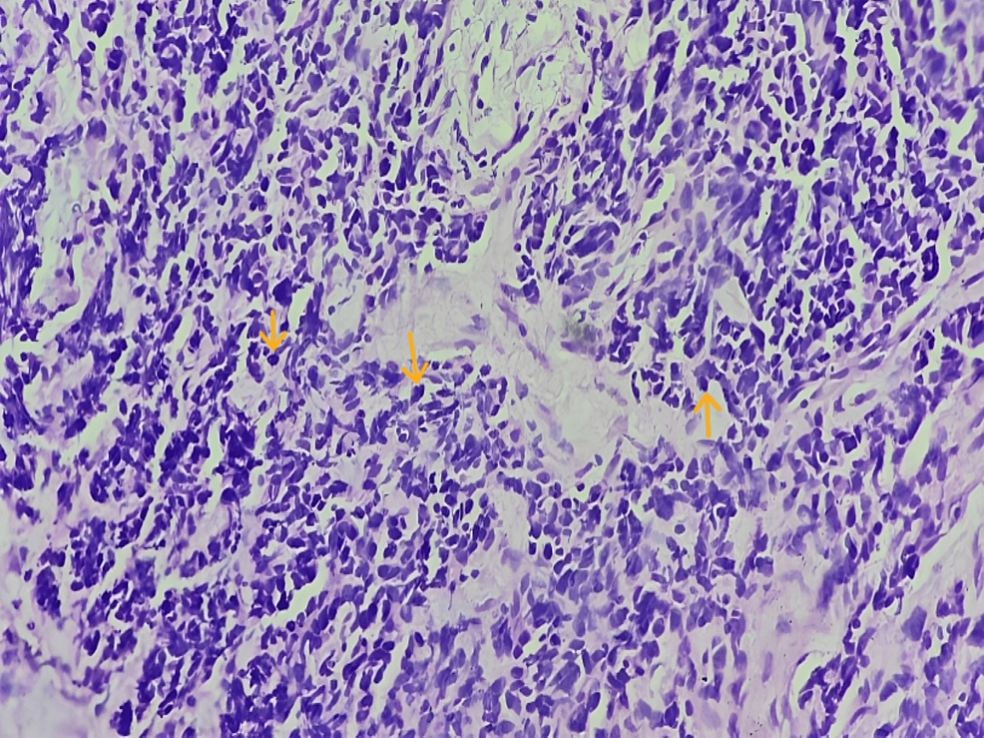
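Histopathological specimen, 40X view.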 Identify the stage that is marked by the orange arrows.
Mitotic figures.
